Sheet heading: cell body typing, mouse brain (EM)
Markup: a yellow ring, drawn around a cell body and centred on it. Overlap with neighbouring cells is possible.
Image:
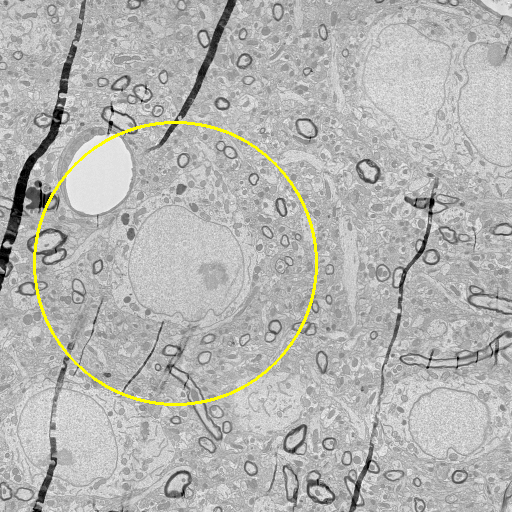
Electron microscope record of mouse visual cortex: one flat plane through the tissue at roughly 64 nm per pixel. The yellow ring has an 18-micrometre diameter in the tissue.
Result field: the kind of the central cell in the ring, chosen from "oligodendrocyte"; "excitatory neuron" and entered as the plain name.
excitatory neuron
